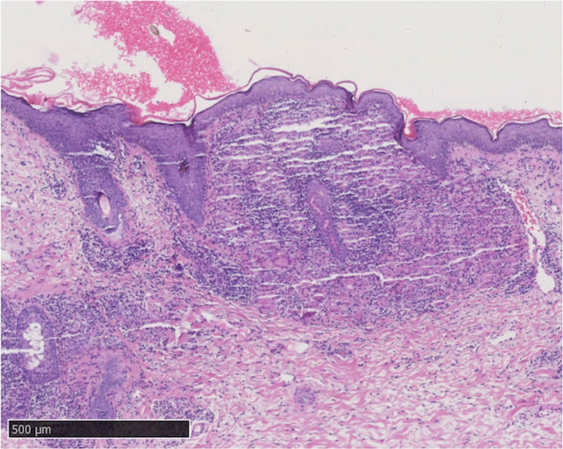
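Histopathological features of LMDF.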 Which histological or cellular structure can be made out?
Superficial dermal epithelioid granuloma.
